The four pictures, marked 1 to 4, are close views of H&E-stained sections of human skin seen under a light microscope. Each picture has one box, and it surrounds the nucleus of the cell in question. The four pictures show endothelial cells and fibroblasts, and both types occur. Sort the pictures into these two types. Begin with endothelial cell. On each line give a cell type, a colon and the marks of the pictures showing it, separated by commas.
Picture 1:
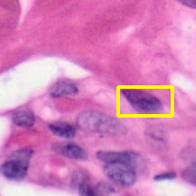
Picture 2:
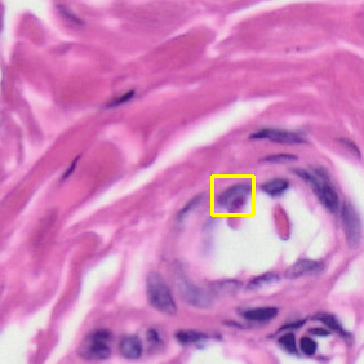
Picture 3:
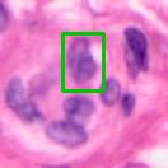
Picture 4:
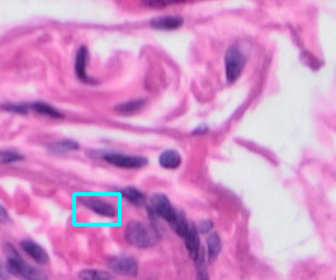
endothelial cell: 2, 3, 4
fibroblast: 1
